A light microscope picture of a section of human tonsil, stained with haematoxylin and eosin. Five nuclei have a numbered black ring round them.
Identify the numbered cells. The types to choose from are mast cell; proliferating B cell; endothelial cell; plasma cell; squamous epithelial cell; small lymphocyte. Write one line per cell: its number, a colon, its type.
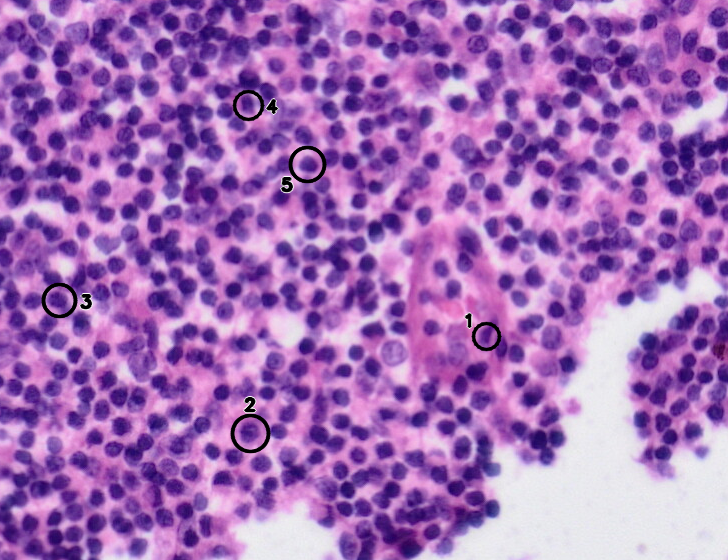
1: endothelial cell
2: plasma cell
3: small lymphocyte
4: small lymphocyte
5: small lymphocyte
